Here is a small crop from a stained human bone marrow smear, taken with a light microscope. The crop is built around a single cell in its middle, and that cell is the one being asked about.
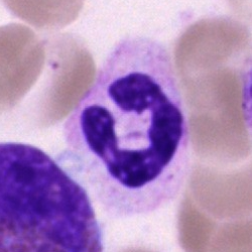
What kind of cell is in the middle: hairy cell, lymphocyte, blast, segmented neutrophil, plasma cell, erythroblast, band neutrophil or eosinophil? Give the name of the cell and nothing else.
segmented neutrophil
